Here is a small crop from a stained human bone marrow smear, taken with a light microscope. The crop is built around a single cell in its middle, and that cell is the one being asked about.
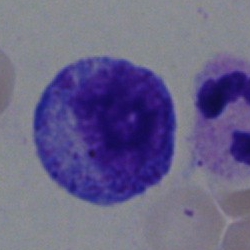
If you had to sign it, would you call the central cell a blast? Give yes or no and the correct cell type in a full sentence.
No, the central cell does not represent a blast, but a promyelocyte.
